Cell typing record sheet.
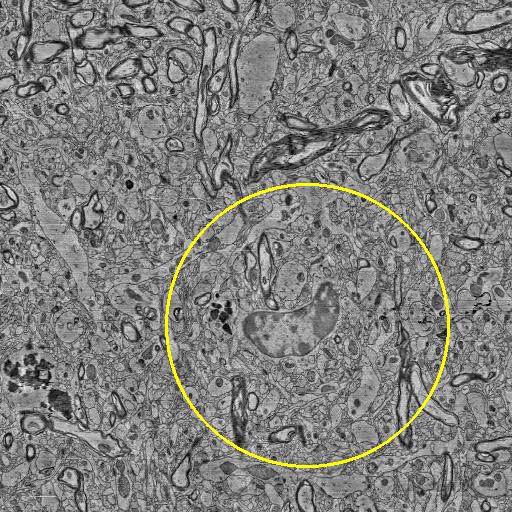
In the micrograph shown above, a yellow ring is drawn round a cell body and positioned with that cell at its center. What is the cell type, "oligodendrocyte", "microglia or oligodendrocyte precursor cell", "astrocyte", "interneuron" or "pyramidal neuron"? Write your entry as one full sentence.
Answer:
The cell body at the center of the ring belongs to a microglial cell or oligodendrocyte precursor cell.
